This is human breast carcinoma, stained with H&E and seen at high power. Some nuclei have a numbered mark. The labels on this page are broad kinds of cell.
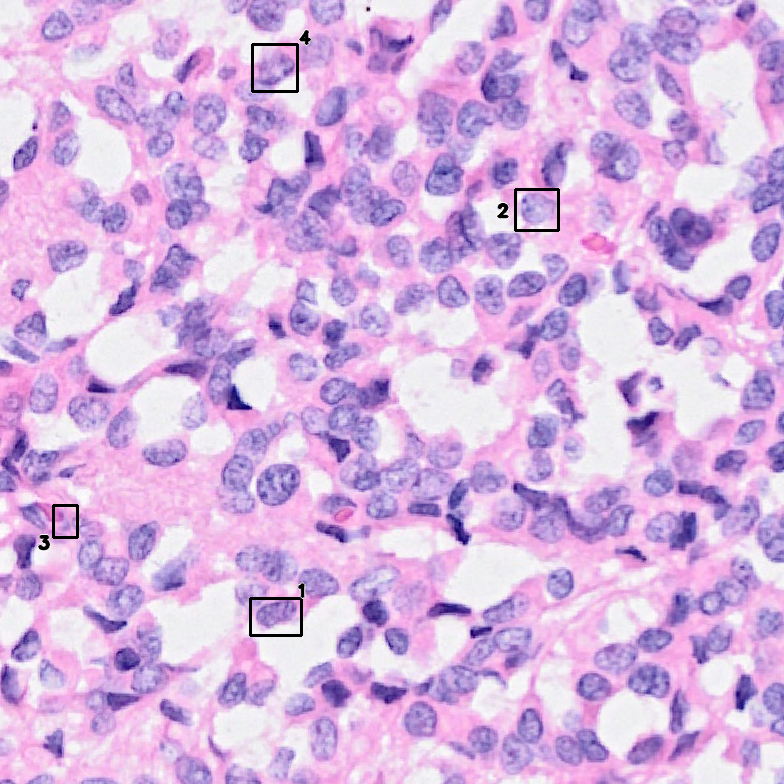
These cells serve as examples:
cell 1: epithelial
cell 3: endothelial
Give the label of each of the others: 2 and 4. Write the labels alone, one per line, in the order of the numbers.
epithelial
epithelial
